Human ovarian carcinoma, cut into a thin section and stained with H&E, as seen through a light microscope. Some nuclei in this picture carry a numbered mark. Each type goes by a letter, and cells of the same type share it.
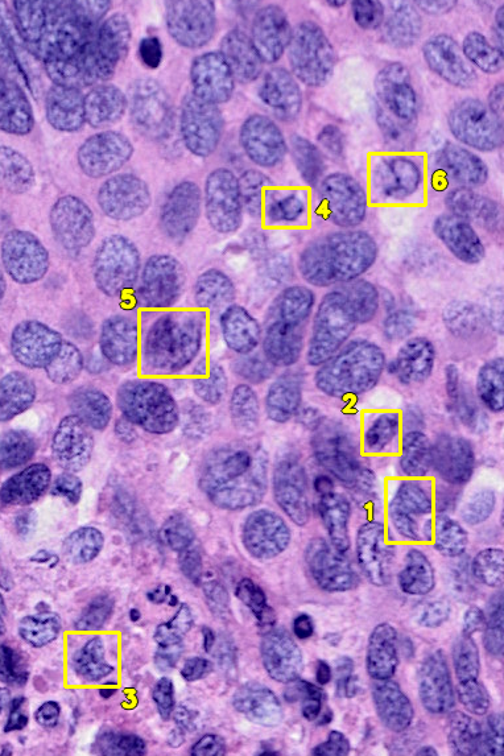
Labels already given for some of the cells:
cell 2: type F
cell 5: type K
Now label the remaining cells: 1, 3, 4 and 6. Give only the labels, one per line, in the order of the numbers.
type K
type F
type F
type F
